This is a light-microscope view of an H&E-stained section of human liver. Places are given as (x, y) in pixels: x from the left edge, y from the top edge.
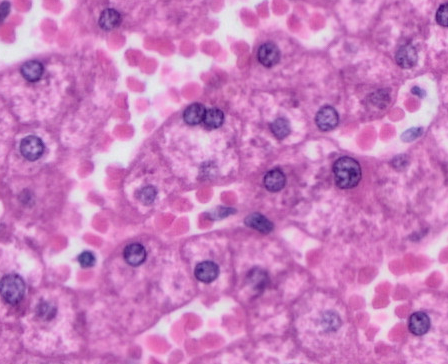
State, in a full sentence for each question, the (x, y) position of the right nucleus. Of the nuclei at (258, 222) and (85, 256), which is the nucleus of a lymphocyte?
The nucleus at (85, 256) is attributed to a lymphocyte, unlike the other nucleus.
